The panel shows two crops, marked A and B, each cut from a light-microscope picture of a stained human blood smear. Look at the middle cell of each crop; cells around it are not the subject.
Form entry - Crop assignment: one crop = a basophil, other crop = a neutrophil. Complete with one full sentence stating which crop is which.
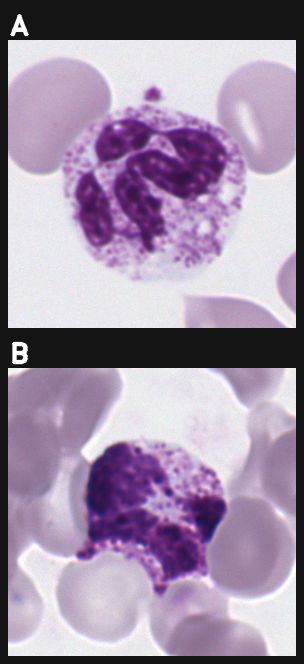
Crop A depicts a neutrophil, and crop B depicts a basophil.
